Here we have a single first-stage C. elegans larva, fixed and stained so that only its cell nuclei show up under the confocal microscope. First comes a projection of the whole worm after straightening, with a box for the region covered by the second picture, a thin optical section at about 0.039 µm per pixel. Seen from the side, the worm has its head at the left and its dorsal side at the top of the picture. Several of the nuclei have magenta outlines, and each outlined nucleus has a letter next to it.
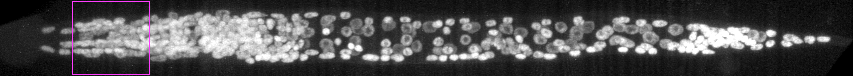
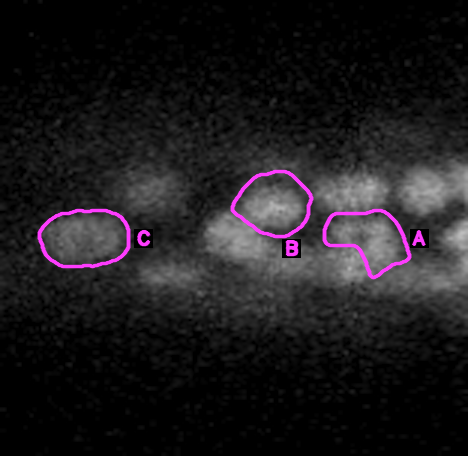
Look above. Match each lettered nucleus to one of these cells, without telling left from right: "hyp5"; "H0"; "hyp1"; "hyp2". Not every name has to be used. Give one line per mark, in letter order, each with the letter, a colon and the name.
A: H0
B: hyp2
C: hyp5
